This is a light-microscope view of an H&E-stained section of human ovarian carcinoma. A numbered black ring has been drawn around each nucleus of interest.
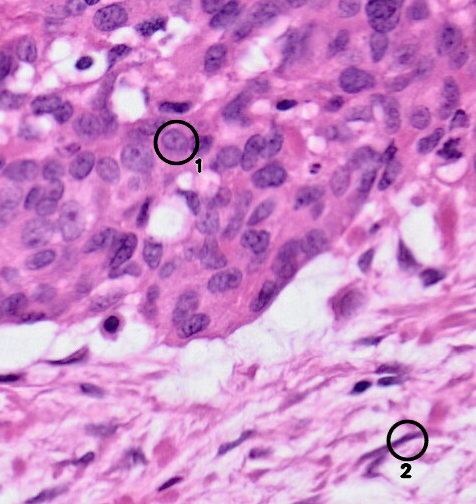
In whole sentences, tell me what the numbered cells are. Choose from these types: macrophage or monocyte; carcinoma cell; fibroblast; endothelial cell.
Cell 1 is a carcinoma cell and cell 2 is a fibroblast.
